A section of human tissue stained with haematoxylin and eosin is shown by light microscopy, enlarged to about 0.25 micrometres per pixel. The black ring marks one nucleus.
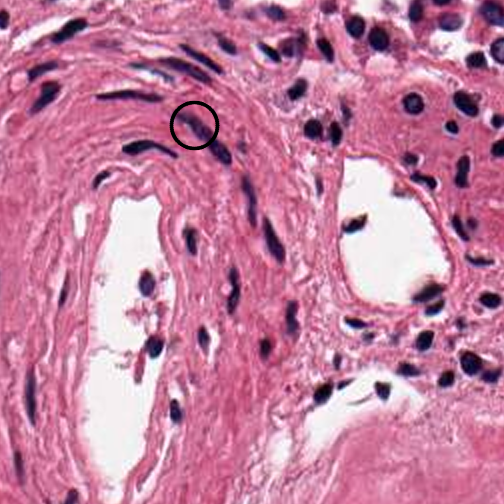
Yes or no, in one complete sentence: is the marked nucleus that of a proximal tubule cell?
No, the marked nucleus is not present in a proximal tubule cell.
